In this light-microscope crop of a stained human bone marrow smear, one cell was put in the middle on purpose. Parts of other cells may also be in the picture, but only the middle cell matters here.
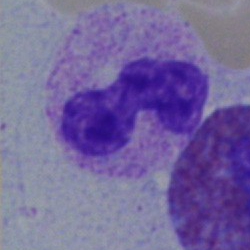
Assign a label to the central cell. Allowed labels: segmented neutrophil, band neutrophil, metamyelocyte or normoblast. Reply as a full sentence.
Within this crop, a band neutrophil occupies the central position.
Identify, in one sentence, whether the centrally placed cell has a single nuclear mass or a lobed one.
Two or more lobes make up the nucleus of this cell.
